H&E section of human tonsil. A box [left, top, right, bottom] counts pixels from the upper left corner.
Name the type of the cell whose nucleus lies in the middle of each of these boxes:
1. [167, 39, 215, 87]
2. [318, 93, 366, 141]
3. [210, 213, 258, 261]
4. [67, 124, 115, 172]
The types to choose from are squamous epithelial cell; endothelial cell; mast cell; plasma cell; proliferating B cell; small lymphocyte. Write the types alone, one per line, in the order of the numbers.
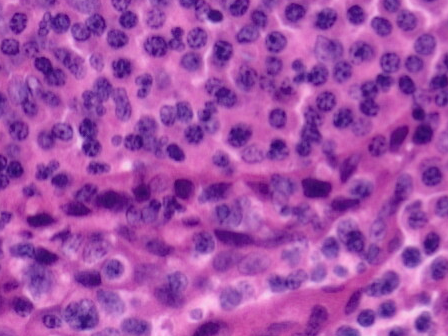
plasma cell
plasma cell
squamous epithelial cell
plasma cell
